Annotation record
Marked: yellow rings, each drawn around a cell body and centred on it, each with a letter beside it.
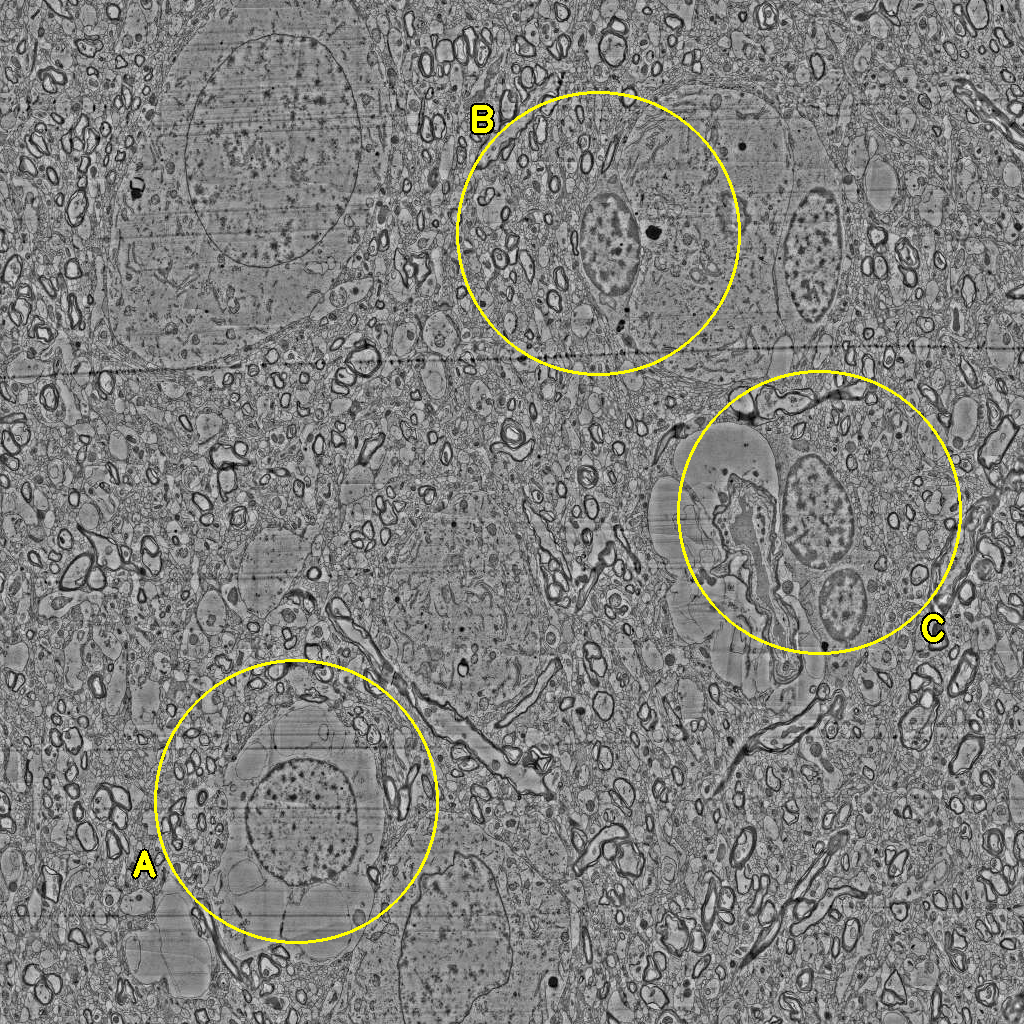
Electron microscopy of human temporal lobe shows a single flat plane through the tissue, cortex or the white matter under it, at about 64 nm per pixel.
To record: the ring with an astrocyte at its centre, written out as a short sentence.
The ring centred on it is ring A.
